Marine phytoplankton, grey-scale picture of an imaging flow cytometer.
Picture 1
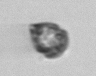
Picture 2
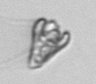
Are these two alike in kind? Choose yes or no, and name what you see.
No. First Scrippsiella, second Pyramimonas.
